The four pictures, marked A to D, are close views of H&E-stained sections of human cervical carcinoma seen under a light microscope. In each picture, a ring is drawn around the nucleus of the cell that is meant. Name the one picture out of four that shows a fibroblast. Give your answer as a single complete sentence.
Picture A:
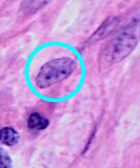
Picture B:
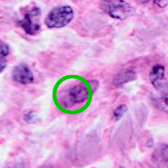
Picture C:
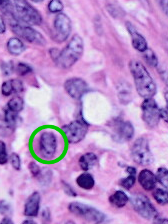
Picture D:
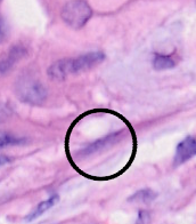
It is picture D that shows the fibroblast.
